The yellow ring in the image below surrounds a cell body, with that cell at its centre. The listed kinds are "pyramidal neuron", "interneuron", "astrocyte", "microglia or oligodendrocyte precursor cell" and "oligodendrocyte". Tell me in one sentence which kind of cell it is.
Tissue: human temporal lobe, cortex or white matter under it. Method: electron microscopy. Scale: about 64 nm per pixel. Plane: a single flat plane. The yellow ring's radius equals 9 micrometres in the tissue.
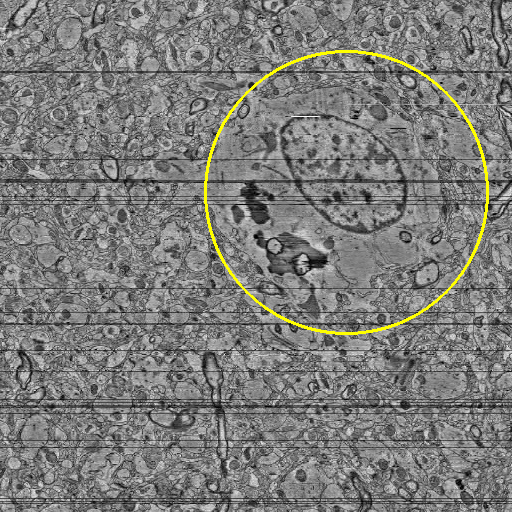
The centre of the ring holds an astrocyte.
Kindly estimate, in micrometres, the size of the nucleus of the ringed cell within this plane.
Roughly 9 by 6 micrometers, clearly longer than it is wide in this plane.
